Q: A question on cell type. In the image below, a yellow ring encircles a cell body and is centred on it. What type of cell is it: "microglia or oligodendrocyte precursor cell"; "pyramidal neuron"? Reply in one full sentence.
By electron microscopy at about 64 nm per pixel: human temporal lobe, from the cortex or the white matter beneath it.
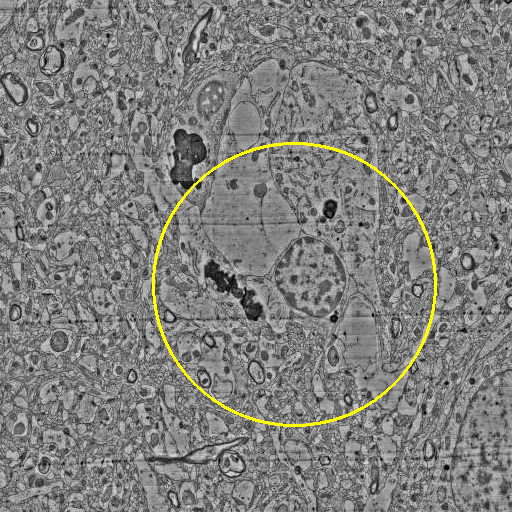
It is a microglial cell or oligodendrocyte precursor cell whose cell body sits at the centre of the yellow ring in the image.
